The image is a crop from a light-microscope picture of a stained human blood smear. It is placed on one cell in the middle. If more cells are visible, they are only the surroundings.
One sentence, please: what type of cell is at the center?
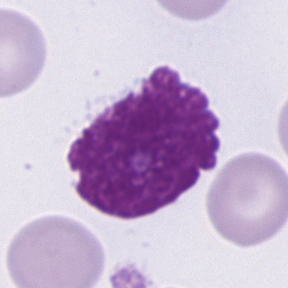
What sits at the centre of this crop is a smudge cell.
